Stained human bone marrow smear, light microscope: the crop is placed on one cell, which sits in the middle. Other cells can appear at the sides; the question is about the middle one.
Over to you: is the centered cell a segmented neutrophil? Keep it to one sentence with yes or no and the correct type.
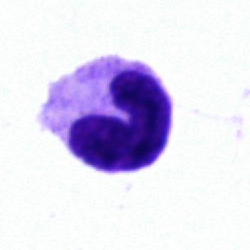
No, instead of being a segmented neutrophil, the middle cell is a band neutrophil.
